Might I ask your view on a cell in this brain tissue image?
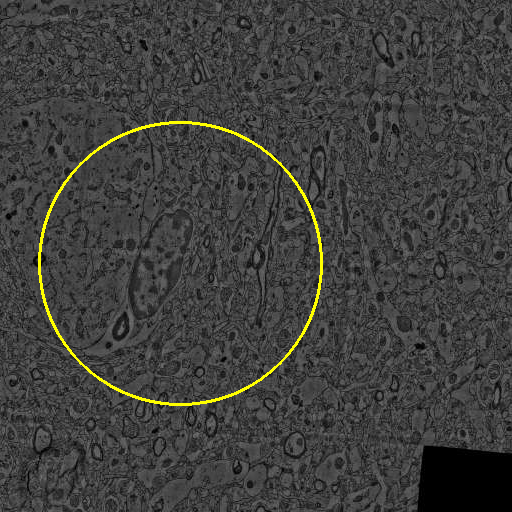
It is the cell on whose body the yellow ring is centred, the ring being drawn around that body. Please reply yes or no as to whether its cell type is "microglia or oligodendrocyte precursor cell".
yes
